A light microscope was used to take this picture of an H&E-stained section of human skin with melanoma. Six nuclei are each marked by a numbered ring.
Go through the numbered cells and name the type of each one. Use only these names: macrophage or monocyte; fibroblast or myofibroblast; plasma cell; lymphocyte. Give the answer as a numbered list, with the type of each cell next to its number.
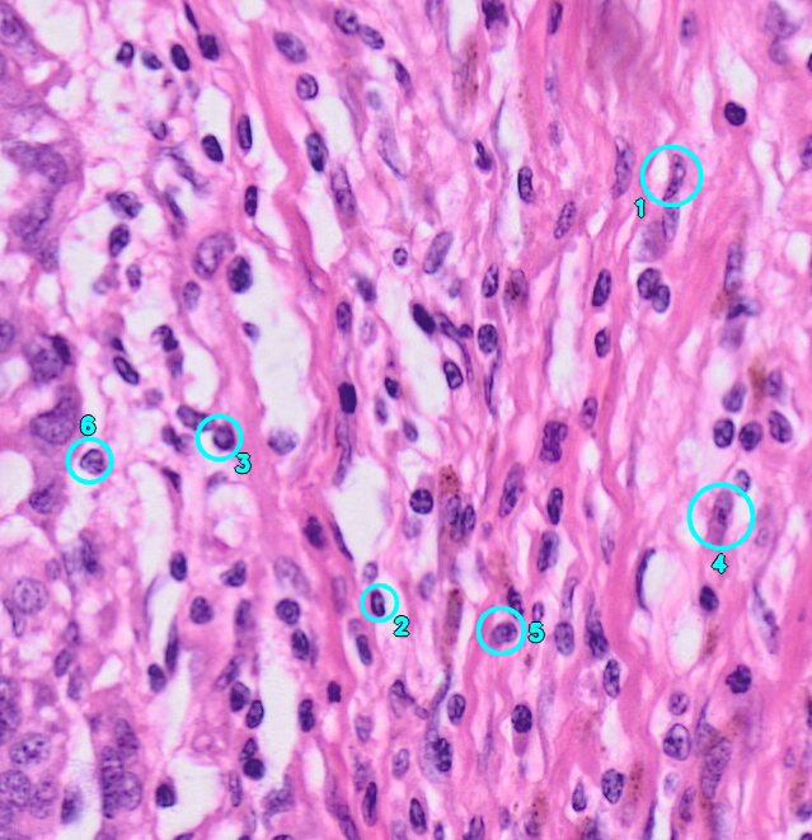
1. macrophage or monocyte
2. lymphocyte
3. lymphocyte
4. macrophage or monocyte
5. lymphocyte
6. lymphocyte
